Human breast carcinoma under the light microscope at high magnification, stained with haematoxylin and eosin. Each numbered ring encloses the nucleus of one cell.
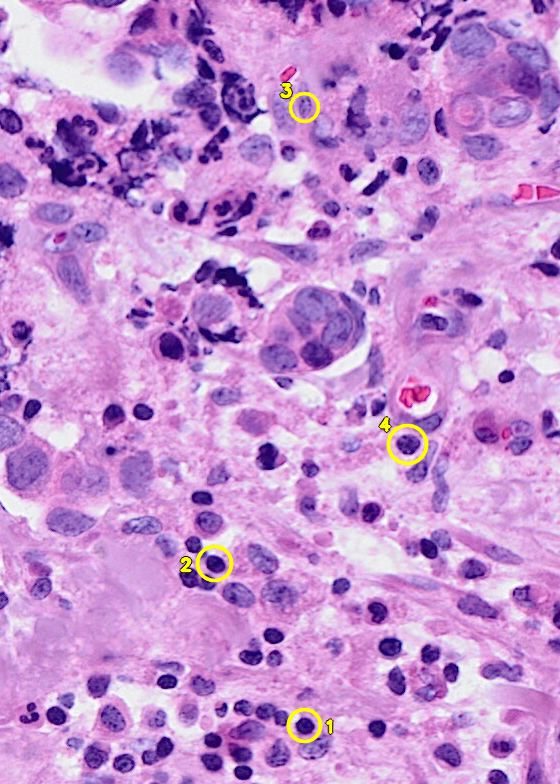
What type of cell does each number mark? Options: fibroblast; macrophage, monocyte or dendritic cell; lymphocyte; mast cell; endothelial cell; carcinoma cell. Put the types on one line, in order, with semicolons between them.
lymphocyte; lymphocyte; endothelial cell; lymphocyte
